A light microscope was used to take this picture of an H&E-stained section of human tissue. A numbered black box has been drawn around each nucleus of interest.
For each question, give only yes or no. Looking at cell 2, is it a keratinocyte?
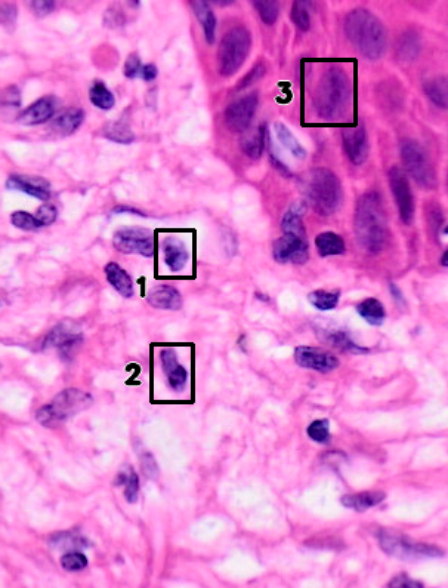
no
